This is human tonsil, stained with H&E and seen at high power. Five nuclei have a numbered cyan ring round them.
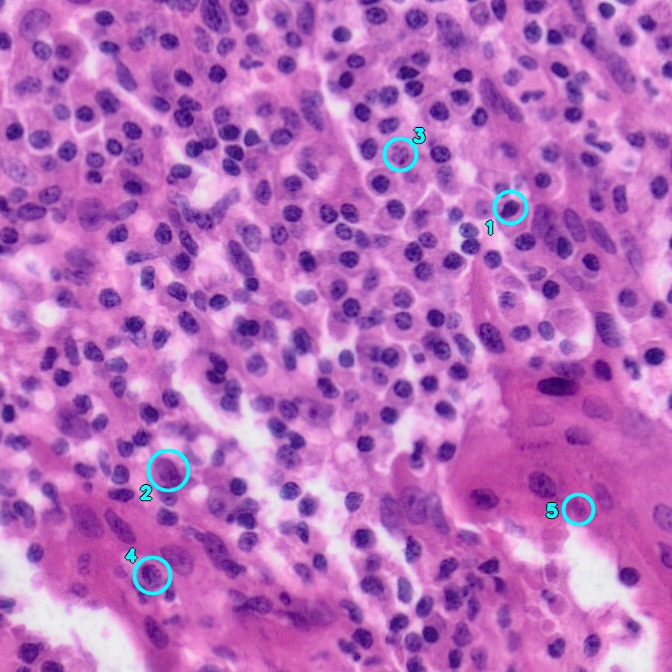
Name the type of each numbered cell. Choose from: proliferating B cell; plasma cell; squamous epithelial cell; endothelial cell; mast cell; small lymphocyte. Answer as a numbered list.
1. plasma cell
2. squamous epithelial cell
3. plasma cell
4. squamous epithelial cell
5. squamous epithelial cell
